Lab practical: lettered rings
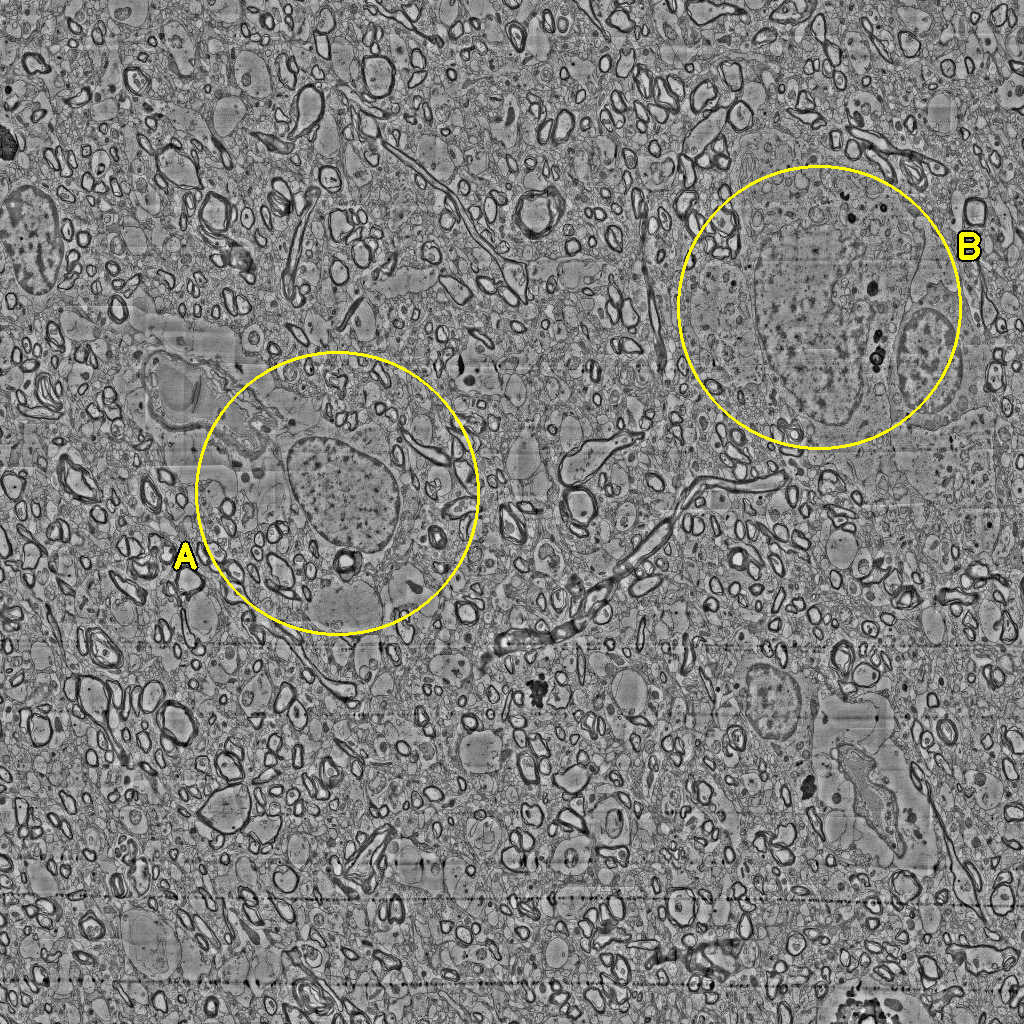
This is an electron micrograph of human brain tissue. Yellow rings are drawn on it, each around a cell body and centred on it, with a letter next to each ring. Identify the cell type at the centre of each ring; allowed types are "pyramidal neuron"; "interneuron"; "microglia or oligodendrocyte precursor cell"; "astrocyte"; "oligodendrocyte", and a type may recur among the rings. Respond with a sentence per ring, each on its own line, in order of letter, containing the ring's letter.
Lying at the centre of ring A is a microglial cell or oligodendrocyte precursor cell.
Lying at the centre of ring B is an interneuron.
